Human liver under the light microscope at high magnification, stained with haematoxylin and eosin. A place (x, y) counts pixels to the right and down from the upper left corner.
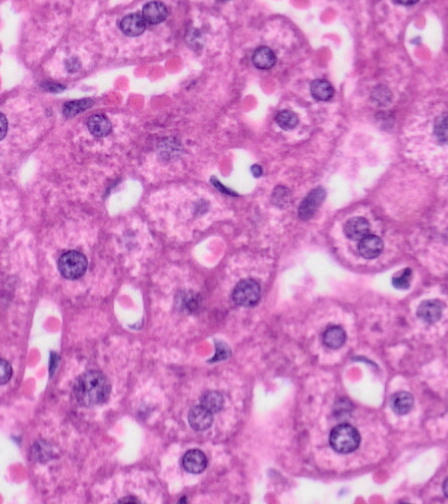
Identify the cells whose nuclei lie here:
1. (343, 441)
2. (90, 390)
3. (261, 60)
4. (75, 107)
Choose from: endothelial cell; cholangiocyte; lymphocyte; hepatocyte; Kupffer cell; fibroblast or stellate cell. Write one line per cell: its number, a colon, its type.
1: hepatocyte
2: hepatocyte
3: hepatocyte
4: Kupffer cell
